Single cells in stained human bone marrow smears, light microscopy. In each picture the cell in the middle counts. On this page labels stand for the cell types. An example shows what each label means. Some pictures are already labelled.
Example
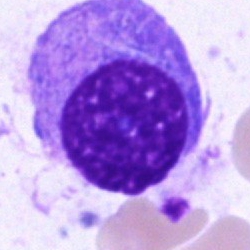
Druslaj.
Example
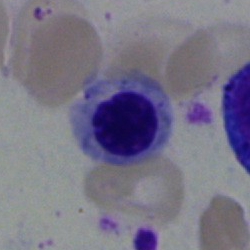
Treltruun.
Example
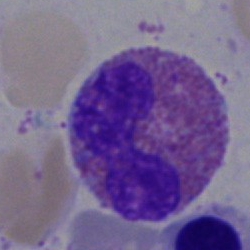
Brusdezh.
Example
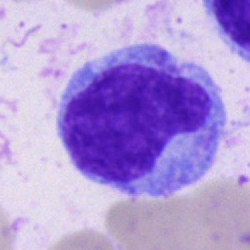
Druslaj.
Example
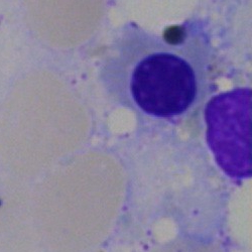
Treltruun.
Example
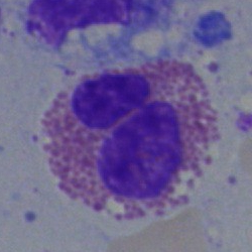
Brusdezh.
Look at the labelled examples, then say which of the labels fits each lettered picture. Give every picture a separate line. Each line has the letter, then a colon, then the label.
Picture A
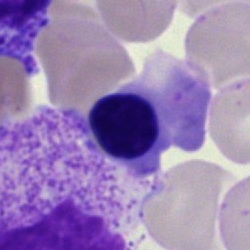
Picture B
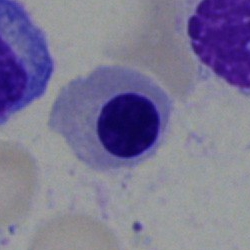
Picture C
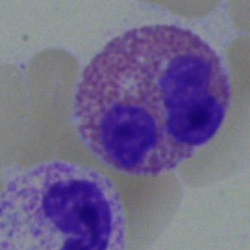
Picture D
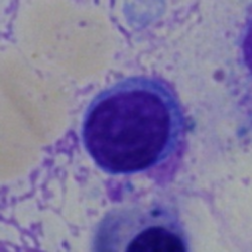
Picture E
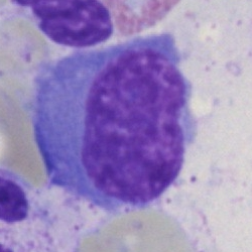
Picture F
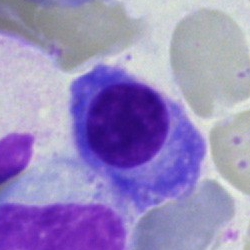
A: Treltruun.
B: Treltruun.
C: Brusdezh.
D: Treltruun.
E: Druslaj.
F: Druslaj.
